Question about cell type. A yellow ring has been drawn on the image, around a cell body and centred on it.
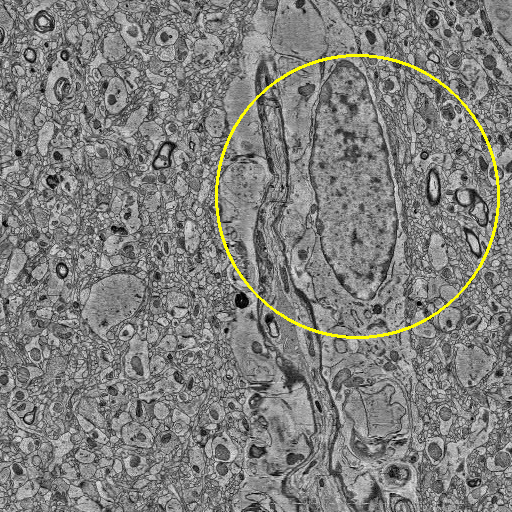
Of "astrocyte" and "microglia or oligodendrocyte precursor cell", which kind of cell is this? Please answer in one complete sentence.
At the centre of the ring lies a microglial cell or oligodendrocyte precursor cell.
